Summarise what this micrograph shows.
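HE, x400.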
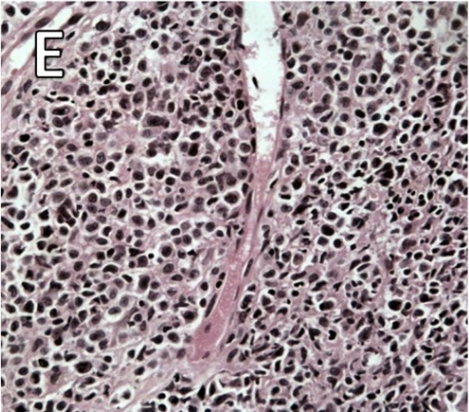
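Here pleomorphic cells infiltrate the tissue in a dense, diffuse sheet. Their nuclei are large and vary in size and shape, some round, some irregular or indented, with coarse dark chromatin. The cytoplasm is scant to moderate and pale pink. A thin-walled vessel with pink wall runs vertically through the middle of the sheet, surrounded by the crowded cells.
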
